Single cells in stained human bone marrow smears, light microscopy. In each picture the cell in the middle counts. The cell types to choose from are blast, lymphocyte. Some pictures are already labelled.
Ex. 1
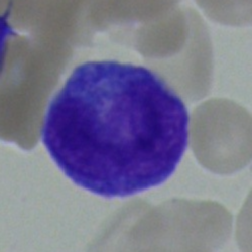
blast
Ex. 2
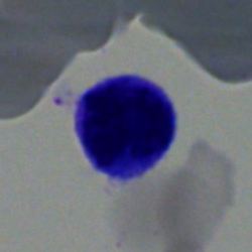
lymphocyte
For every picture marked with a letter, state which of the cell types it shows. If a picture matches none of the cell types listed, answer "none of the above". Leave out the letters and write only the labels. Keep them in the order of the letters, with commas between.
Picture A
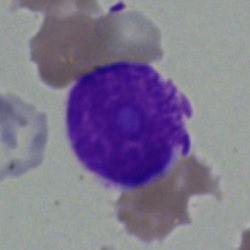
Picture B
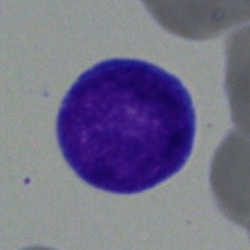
blast, blast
